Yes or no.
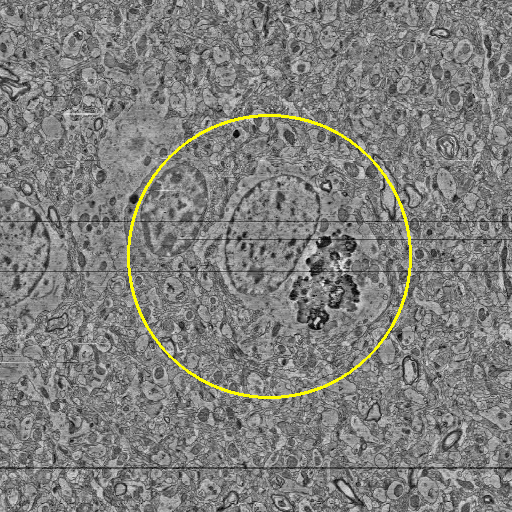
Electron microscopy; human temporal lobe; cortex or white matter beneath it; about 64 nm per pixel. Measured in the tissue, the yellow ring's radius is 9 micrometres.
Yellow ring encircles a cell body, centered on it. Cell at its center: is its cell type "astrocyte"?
yes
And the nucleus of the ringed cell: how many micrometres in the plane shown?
The nucleus of the ringed cell is clearly longer than it is wide in this plane, about 8 by 5 micrometres.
